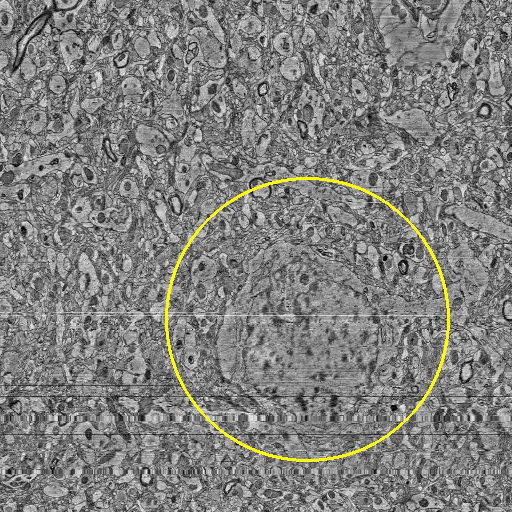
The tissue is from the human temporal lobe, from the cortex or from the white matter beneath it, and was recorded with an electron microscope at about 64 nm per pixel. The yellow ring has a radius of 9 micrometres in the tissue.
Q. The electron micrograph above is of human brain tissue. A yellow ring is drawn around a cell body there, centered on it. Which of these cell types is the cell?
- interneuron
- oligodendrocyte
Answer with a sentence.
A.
The cell under the ring's center is an interneuron.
